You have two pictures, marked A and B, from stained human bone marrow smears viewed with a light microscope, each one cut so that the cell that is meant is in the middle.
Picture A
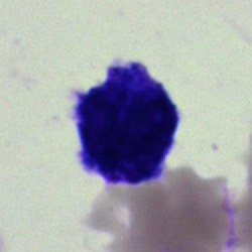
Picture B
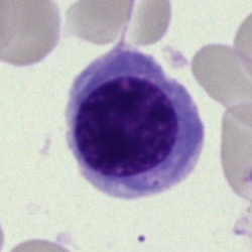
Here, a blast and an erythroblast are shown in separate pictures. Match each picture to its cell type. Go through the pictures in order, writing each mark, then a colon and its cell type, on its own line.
A: blast
B: erythroblast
